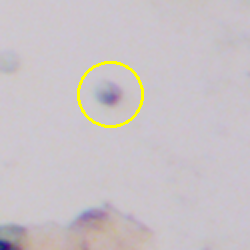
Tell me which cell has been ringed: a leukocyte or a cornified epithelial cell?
It is a leukocyte.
